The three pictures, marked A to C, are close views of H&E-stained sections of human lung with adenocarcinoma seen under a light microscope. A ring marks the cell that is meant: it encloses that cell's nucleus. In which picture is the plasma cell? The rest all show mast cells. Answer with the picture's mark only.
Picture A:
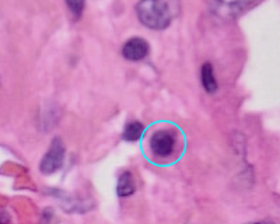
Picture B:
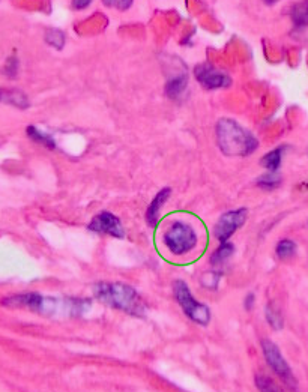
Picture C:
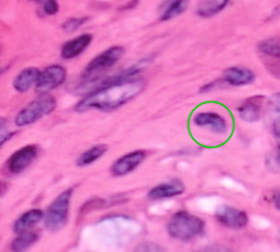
A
